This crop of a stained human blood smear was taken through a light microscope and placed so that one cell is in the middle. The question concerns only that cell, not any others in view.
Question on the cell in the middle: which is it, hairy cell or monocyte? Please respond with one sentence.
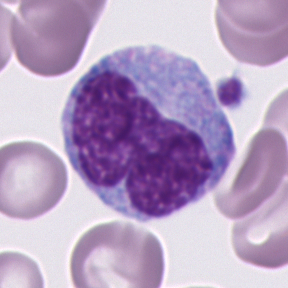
The cell positioned in the middle of the field is a monocyte.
